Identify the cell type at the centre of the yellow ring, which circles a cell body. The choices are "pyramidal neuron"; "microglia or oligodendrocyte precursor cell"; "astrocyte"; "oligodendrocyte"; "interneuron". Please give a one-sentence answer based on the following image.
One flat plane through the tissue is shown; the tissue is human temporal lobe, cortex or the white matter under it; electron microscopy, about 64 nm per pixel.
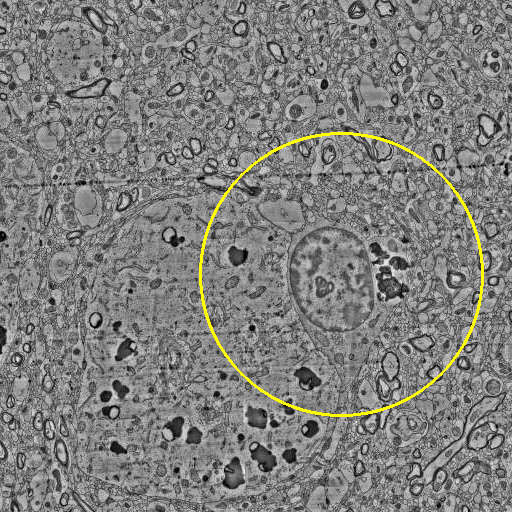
The cell marked by the ring is an oligodendrocyte.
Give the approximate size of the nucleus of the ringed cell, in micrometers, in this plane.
In this plane the nucleus measures roughly 6 micrometres across.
